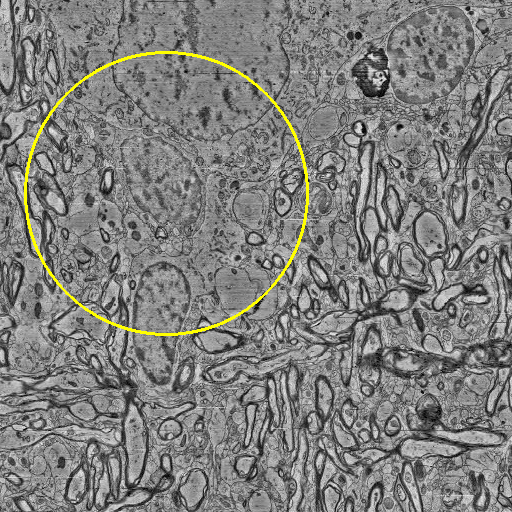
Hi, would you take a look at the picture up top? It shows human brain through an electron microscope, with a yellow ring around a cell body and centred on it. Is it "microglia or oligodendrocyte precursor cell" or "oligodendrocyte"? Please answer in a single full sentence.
The best fit for the cell in the middle of the ring is an oligodendrocyte, I reckon.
